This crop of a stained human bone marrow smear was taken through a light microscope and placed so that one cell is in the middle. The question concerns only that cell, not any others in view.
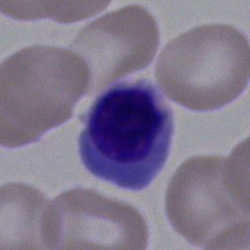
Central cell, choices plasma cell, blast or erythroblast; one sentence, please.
For this crop, the central cell is an erythroblast.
